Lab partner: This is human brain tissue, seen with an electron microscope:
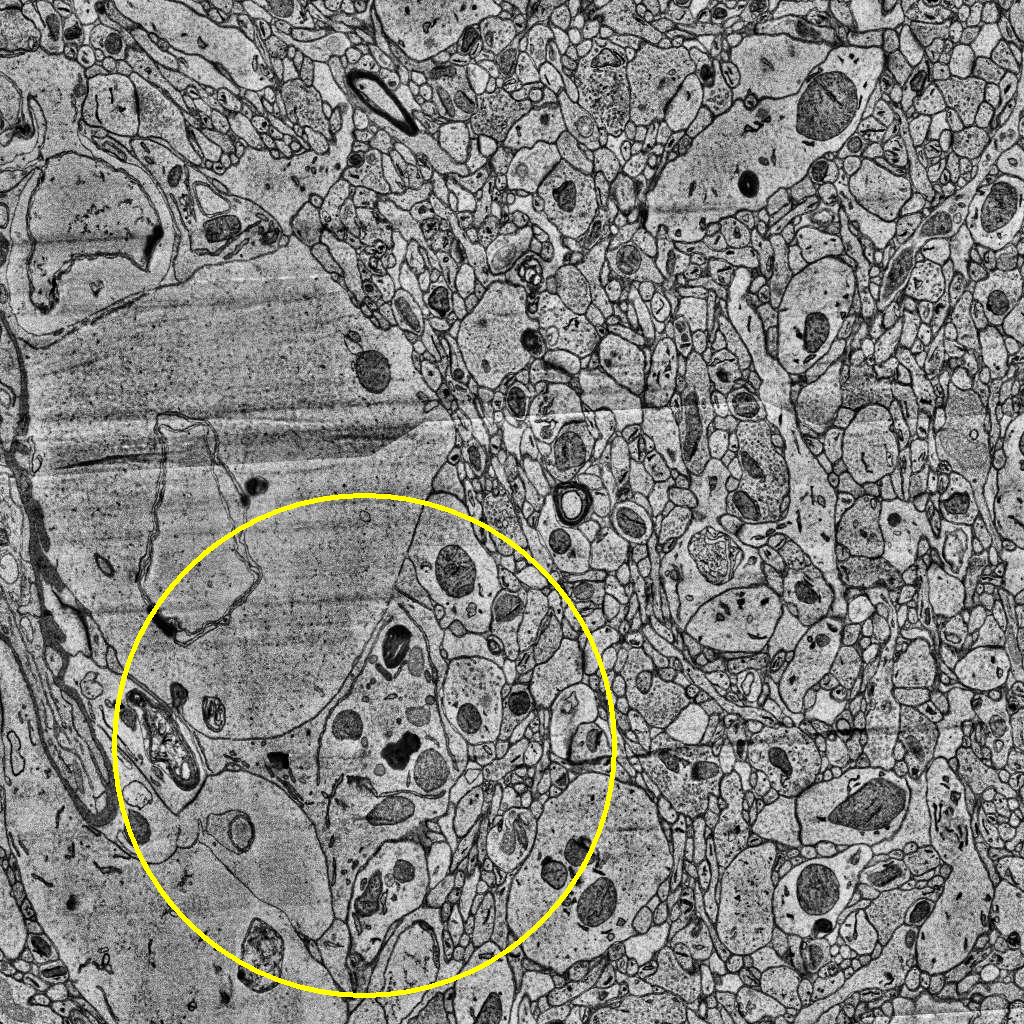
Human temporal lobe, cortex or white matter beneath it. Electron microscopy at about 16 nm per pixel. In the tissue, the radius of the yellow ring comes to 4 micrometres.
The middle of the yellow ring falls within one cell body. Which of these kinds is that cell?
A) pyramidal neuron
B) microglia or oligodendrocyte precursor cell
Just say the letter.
B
